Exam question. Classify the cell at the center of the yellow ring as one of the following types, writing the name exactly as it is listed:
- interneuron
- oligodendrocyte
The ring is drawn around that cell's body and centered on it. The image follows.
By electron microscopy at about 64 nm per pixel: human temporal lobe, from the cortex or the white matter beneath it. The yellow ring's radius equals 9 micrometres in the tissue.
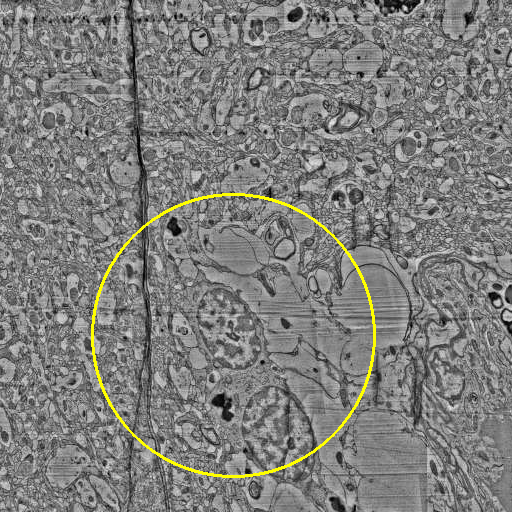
oligodendrocyte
